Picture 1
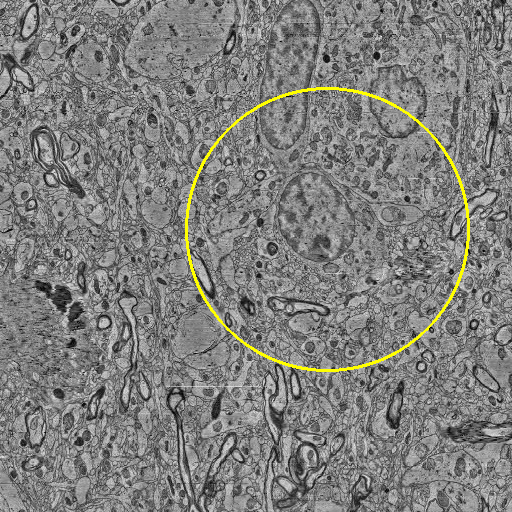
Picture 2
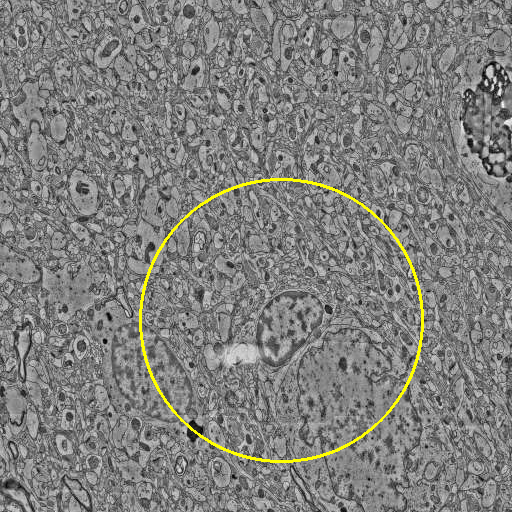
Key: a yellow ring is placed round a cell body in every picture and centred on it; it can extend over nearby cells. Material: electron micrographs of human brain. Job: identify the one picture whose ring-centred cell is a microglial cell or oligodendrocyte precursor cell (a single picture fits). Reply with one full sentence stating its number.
Picture 2 is the one with the sought cell at the centre of its ring.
